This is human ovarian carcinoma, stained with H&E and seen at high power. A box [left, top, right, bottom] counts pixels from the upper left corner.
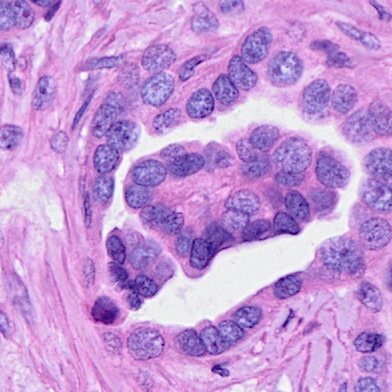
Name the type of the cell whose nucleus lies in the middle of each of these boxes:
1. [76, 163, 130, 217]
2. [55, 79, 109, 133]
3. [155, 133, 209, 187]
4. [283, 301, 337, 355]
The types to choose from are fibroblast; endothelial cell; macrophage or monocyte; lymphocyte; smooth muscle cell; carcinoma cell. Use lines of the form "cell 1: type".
cell 1: carcinoma cell
cell 2: fibroblast
cell 3: carcinoma cell
cell 4: fibroblast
